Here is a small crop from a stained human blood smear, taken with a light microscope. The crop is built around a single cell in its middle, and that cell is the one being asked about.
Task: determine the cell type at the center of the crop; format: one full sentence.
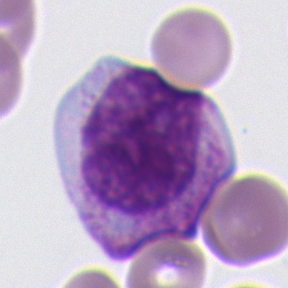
Located at the centre of the crop is an atypical promyelocyte.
